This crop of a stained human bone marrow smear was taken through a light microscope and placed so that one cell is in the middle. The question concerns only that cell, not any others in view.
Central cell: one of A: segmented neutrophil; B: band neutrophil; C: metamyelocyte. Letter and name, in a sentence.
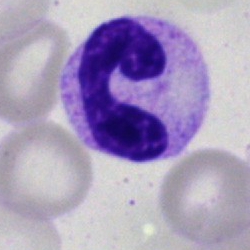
Identified correctly by option B, the cell in the middle is a band neutrophil.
